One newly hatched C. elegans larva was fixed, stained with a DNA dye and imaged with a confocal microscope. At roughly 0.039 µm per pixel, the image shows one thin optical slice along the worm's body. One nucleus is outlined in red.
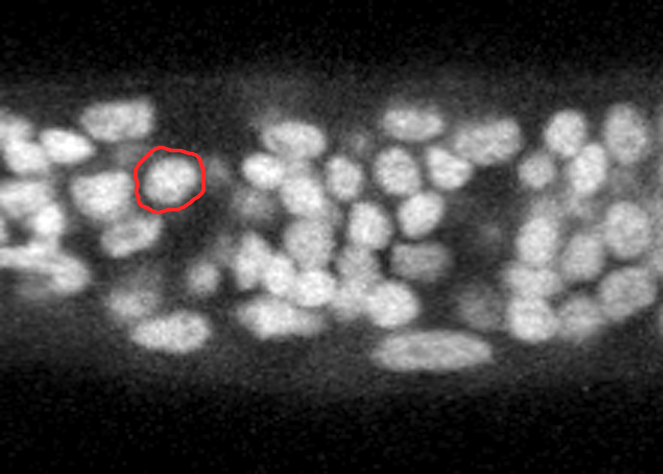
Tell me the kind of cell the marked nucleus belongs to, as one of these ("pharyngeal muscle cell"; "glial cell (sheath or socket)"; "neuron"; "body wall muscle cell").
neuron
